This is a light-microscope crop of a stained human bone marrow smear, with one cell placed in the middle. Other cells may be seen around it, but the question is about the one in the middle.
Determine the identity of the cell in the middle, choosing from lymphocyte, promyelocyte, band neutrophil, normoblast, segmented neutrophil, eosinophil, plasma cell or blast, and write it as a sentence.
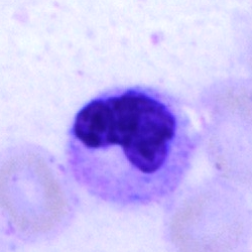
For this crop, the central cell is a band neutrophil.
